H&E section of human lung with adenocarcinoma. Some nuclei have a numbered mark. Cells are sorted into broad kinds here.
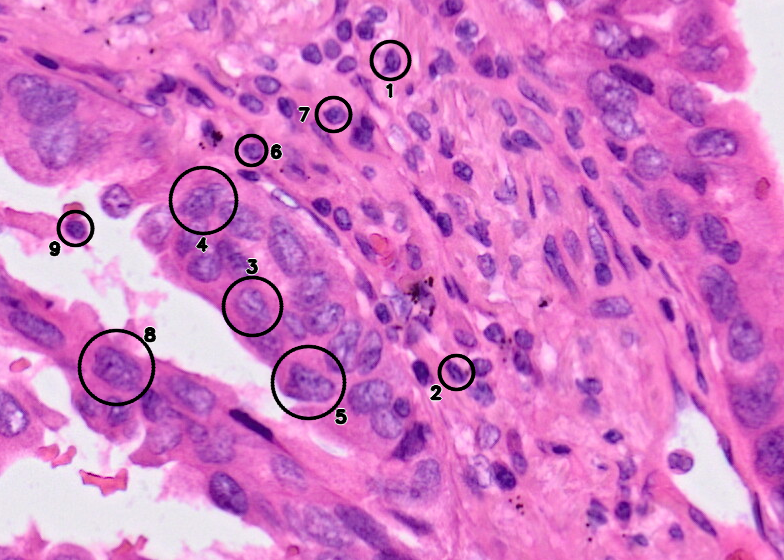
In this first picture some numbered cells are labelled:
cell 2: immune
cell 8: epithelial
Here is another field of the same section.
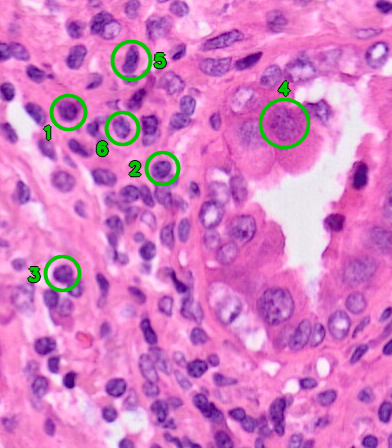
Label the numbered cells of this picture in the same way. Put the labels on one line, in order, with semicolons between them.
immune; immune; immune; epithelial; immune; immune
